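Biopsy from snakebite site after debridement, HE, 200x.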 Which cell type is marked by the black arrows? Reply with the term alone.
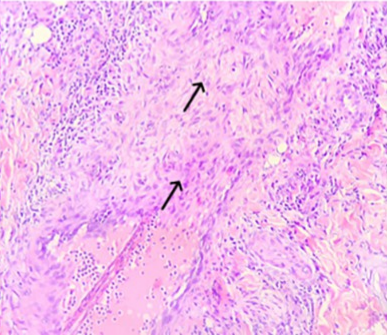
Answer: Activated fibroblasts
